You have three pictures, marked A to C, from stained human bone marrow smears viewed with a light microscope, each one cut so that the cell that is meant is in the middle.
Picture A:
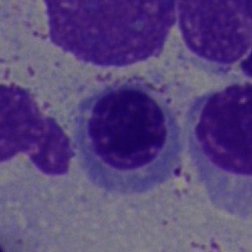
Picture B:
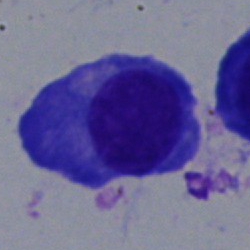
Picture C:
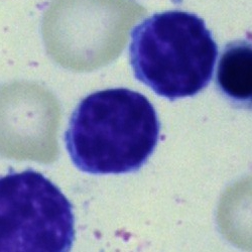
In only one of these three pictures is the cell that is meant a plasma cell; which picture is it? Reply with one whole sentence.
The cell in picture B is the plasma cell.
